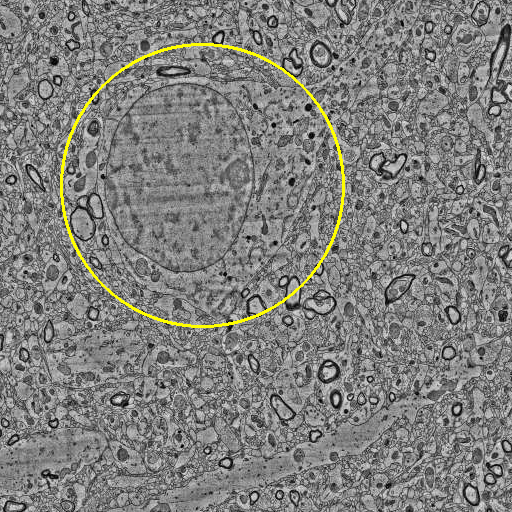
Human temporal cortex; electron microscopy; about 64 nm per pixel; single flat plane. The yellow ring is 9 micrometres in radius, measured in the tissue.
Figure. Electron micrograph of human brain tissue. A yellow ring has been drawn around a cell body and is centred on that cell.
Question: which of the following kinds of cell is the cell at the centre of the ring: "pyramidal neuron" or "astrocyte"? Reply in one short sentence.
The cell at the centre of the ring is a pyramidal neuron.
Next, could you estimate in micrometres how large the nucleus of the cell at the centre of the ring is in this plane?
In this plane the nucleus spans approximately 12 by 10 micrometers.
